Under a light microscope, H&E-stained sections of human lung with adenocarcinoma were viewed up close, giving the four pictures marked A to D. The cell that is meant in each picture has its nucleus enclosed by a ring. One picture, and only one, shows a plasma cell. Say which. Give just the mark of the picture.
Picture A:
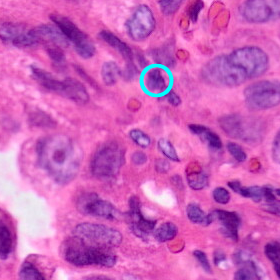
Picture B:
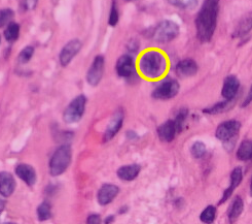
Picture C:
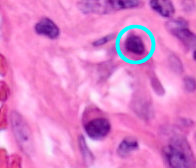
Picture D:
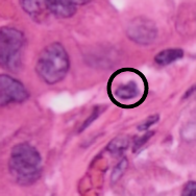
C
